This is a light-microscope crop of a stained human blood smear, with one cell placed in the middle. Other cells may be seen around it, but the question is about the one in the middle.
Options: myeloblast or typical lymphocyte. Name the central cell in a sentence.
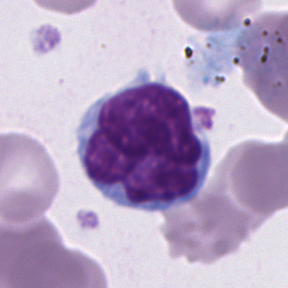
The cell centred in this crop is categorized as a typical lymphocyte.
